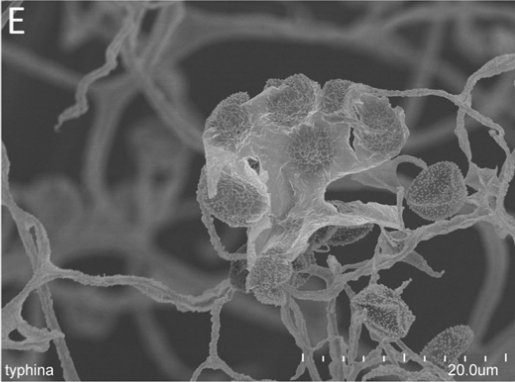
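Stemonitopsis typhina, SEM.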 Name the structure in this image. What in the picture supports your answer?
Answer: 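A thin crumpled membranous sheet drapes over a cluster of rounded warted bodies. Threads run around and beneath the sheet.
Conclusion: Peridial fragment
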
